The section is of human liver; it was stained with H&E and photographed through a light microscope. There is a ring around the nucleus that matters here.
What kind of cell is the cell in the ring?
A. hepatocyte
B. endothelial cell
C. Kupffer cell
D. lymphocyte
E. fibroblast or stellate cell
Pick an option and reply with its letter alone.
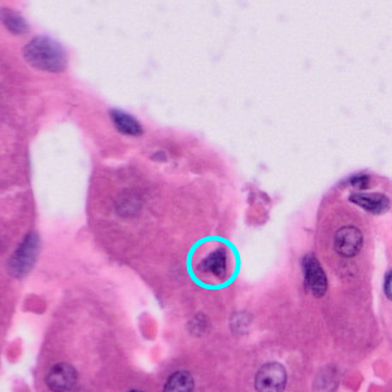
E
